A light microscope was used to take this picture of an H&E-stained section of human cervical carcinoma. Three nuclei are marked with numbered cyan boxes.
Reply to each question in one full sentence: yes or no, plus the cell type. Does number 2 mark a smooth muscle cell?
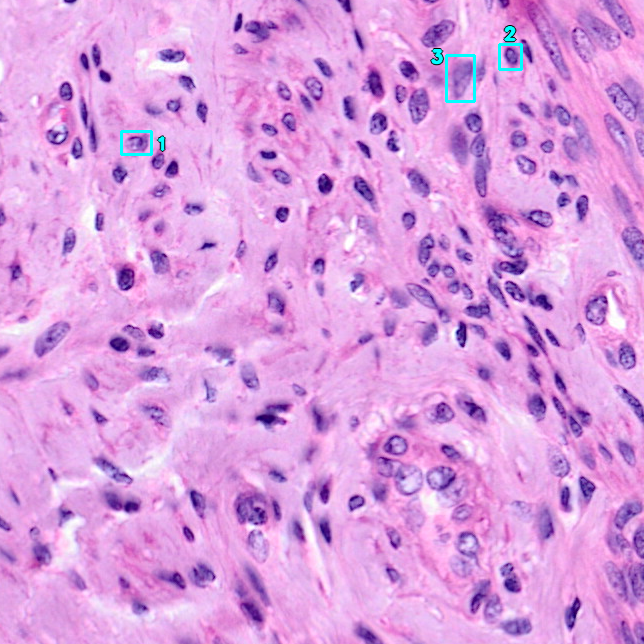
Yes, number 2 is assigned to a cell that is a smooth muscle cell.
